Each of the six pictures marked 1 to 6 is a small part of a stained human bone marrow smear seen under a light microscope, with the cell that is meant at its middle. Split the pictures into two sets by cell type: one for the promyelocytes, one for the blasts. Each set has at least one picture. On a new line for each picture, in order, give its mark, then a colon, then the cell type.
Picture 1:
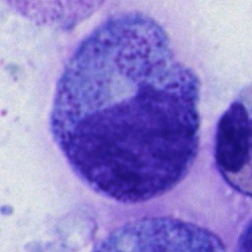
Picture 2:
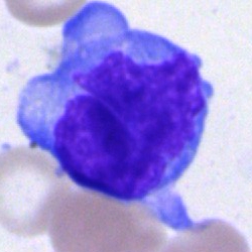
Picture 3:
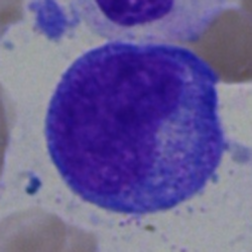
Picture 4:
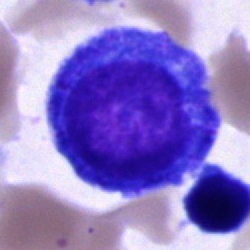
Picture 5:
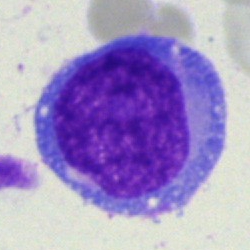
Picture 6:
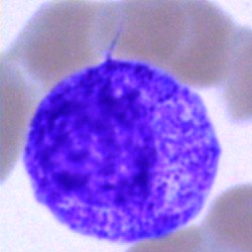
1: promyelocyte
2: blast
3: promyelocyte
4: promyelocyte
5: blast
6: promyelocyte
